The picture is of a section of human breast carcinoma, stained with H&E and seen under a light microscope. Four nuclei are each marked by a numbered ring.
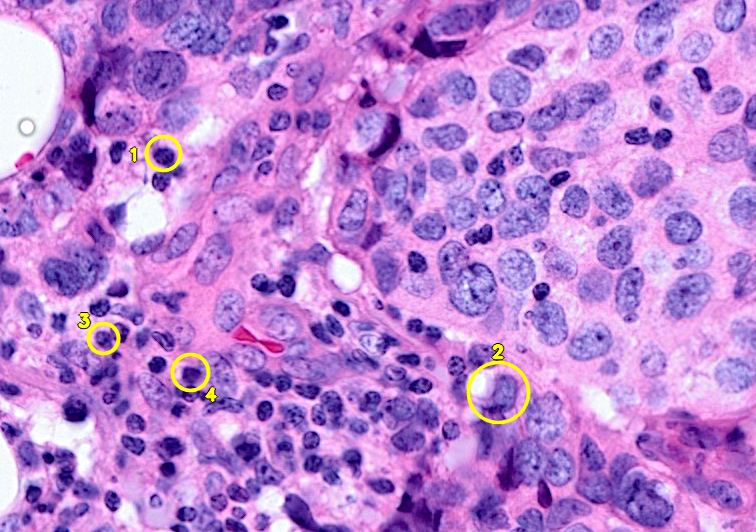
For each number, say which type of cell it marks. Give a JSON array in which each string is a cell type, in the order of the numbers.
["lymphocyte", "carcinoma cell", "lymphocyte", "lymphocyte"]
